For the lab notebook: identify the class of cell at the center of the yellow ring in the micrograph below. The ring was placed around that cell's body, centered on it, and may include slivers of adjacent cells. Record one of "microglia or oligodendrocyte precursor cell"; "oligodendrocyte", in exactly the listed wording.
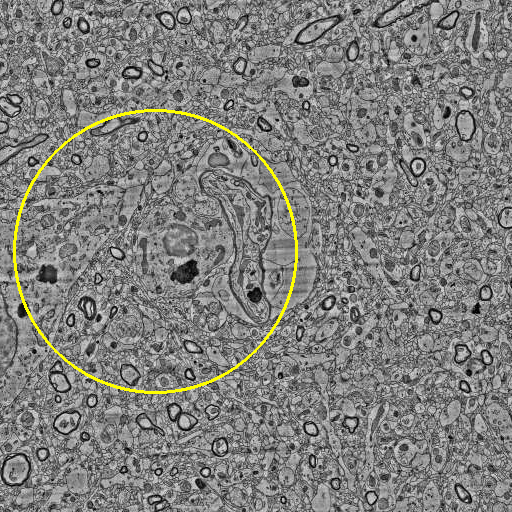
oligodendrocyte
